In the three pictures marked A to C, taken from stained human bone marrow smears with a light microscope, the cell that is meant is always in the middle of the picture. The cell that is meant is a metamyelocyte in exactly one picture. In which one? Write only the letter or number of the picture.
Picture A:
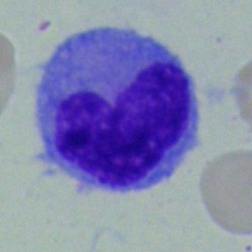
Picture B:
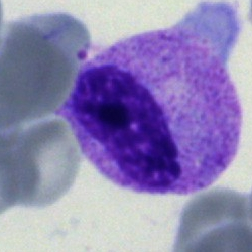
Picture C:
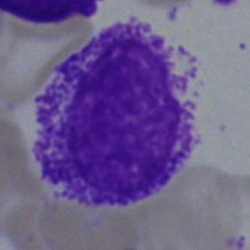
B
